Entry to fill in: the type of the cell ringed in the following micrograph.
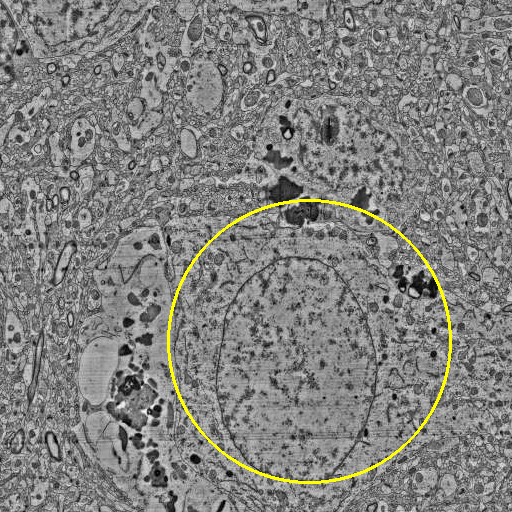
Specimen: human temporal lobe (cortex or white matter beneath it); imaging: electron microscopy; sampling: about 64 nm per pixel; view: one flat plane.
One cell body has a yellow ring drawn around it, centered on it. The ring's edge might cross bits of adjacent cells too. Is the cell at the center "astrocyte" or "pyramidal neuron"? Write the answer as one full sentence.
This entry names a pyramidal neuron as the cell whose body lies at the ring's center.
